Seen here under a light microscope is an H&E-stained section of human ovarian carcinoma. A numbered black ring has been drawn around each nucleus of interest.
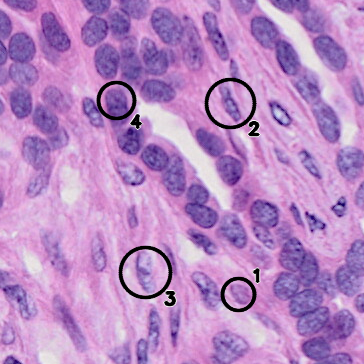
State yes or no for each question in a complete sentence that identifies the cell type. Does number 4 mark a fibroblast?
No, the cell with the number 4 is a carcinoma cell, not a fibroblast.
